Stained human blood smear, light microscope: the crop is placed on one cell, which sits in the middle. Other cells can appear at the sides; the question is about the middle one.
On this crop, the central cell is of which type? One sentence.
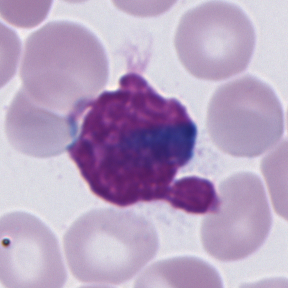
This crop's central cell is a smudge cell.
